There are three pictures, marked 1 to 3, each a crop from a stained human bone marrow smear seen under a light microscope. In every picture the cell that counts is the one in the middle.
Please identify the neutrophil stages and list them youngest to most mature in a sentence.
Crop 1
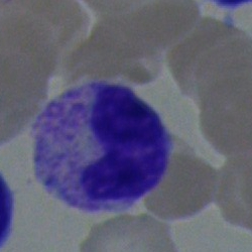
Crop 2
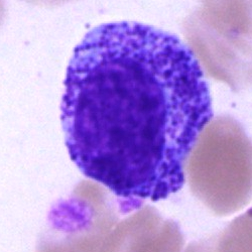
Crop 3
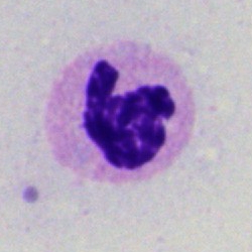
Least mature first and most mature last, the order is crop 2 (a promyelocyte), crop 1 (a metamyelocyte) and crop 3 (a segmented neutrophil).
